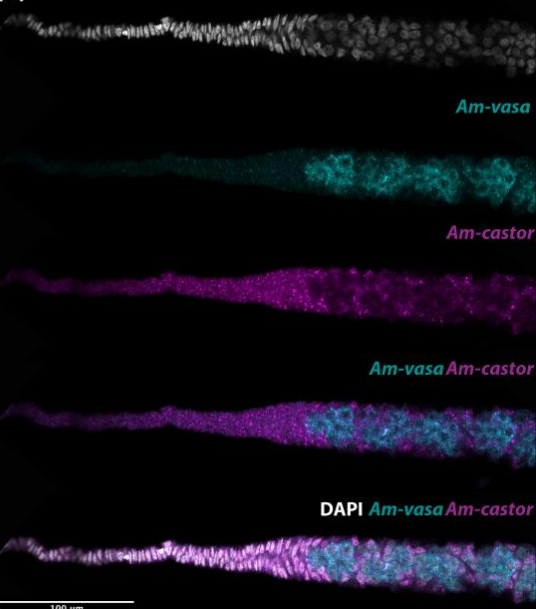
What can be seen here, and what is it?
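The tip of an insect ovariole is shown: a long thin terminal filament on the left broadens into the germarium on the right. The filament is a single file of flattened, disc-like nuclei stacked along its length, and its cells are filled with magenta signal. In the wider germarium, large rounded nuclei sit in clusters surrounded by cyan signal. Cyan and magenta do not overlap in the same cells, so the central cell clusters are set apart from the surrounding covering cells and from the filament.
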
